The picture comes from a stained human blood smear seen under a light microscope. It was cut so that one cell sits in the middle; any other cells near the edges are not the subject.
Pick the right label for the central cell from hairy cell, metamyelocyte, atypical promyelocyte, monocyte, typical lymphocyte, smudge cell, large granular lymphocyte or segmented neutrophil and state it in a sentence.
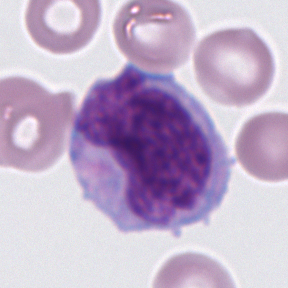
The cell nearest the centre of this crop is an atypical promyelocyte.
